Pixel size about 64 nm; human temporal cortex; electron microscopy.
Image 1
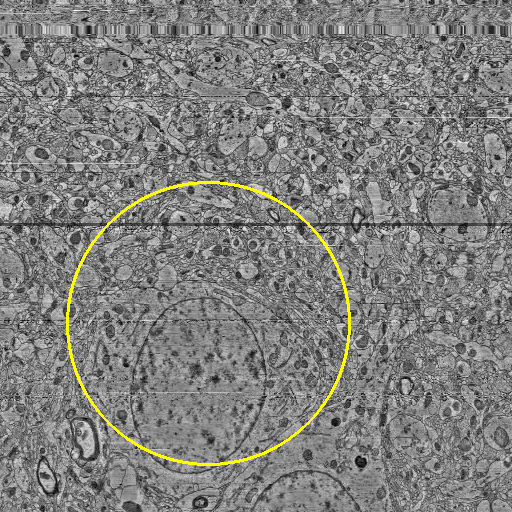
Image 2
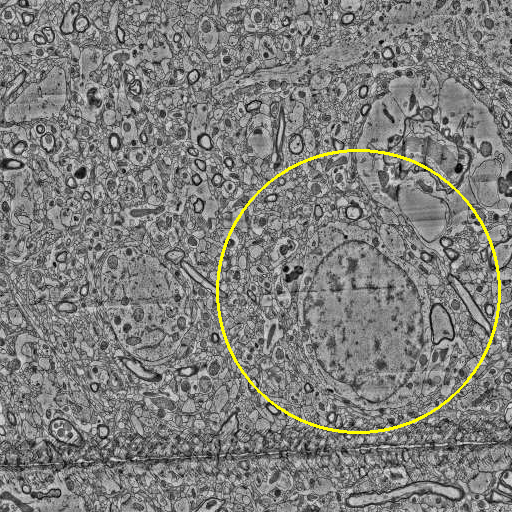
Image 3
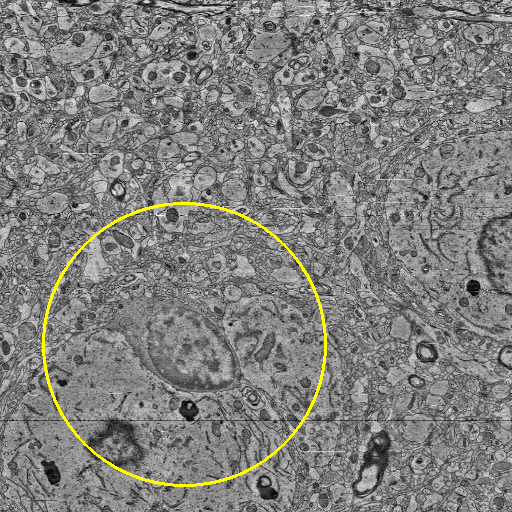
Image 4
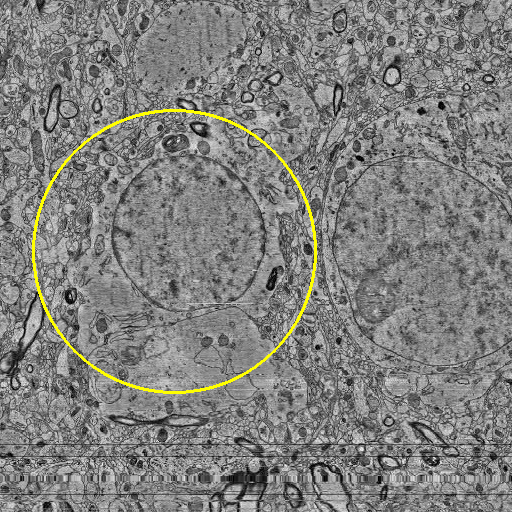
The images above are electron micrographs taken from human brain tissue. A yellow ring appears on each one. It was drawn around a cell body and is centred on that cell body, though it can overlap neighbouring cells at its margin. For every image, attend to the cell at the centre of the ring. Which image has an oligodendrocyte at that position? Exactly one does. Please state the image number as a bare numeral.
3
